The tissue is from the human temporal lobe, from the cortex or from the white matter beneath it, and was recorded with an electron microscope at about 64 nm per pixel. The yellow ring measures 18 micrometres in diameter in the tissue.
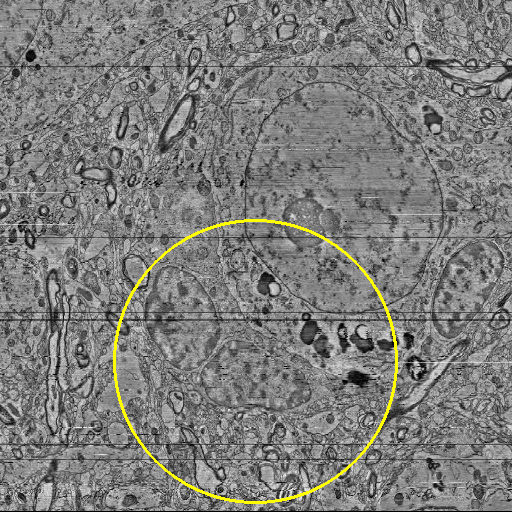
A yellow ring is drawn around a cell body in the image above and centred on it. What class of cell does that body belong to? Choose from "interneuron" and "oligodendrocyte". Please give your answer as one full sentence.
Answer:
The yellow ring above is centred on the cell body of an oligodendrocyte.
